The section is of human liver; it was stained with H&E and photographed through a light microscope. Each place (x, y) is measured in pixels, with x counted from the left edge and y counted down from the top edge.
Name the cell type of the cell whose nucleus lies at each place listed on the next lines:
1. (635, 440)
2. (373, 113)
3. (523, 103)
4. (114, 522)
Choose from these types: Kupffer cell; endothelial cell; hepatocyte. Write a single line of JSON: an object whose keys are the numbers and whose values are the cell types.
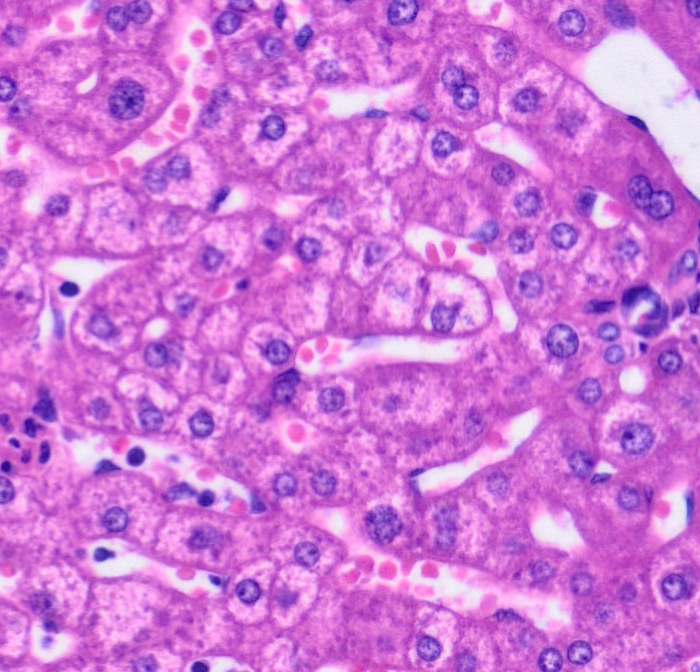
{"1": "hepatocyte", "2": "endothelial cell", "3": "hepatocyte", "4": "hepatocyte"}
